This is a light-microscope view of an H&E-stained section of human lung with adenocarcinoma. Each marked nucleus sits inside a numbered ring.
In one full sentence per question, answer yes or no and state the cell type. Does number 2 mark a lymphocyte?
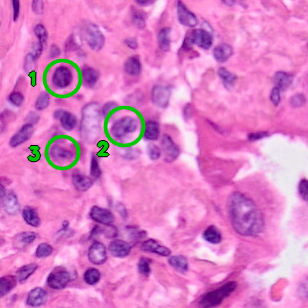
Yes, it is a lymphocyte that carries the number 2.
